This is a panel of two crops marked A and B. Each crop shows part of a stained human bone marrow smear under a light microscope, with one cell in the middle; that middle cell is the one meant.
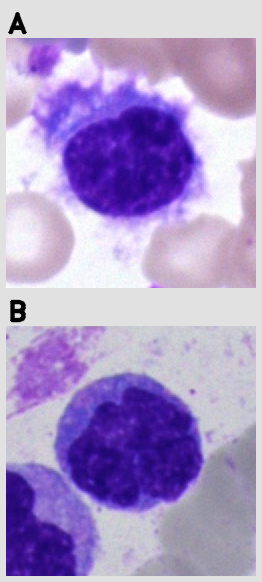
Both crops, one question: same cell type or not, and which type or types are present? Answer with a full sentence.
No, for crop A the cell is a hairy cell, and for crop B it is a monocyte.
